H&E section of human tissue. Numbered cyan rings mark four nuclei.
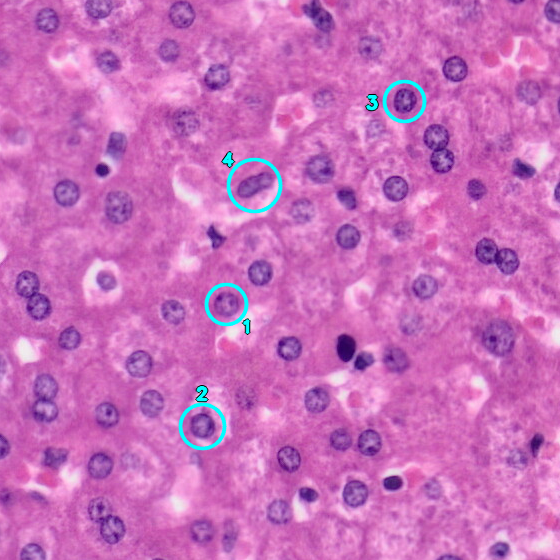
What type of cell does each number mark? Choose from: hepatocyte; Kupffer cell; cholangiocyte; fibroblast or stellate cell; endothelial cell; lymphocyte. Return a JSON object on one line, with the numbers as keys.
{"1": "hepatocyte", "2": "hepatocyte", "3": "hepatocyte", "4": "Kupffer cell"}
